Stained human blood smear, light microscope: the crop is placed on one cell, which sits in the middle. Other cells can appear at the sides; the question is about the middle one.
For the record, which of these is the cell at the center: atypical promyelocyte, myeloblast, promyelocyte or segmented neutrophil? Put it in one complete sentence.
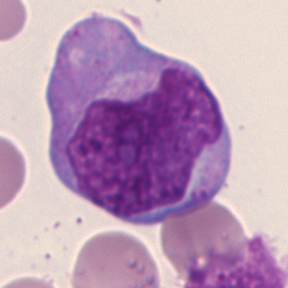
The middle of this crop holds an atypical promyelocyte.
